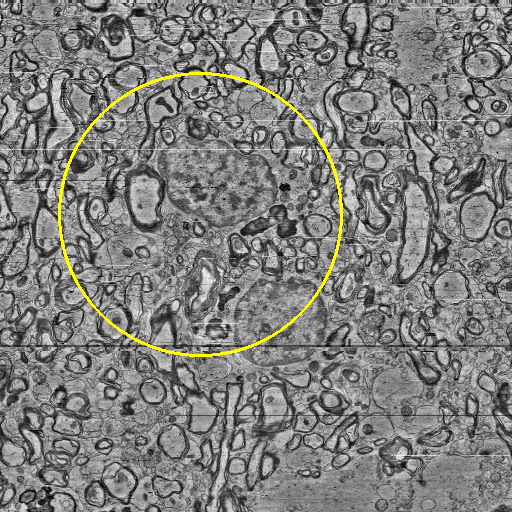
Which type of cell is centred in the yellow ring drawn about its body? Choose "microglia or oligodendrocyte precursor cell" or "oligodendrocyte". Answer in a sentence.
The yellow ring surrounds the cell body of an oligodendrocyte.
